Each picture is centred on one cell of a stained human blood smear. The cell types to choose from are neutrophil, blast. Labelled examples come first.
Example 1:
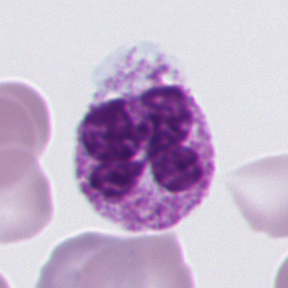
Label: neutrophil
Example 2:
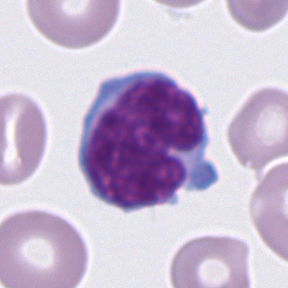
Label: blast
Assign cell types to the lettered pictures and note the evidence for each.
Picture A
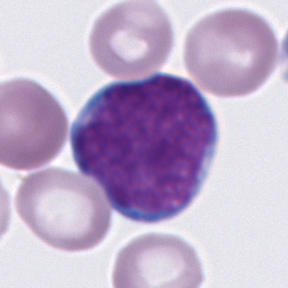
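blast. Reason: The cytoplasm is deep blue.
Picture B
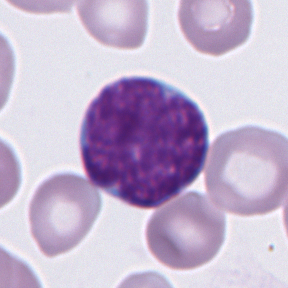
blast. Reason: The cytoplasm is only a thin rim, most visible at the lower left.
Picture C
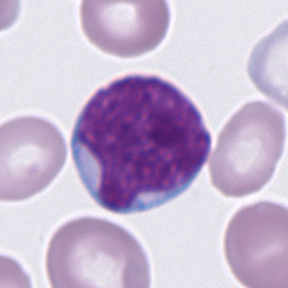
blast. Reason: The cytoplasm is a scant pale blue rim, widest at the lower left.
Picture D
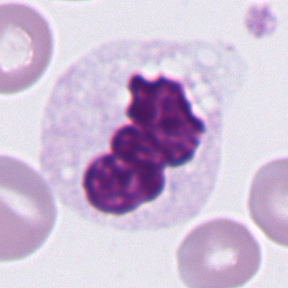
neutrophil. Reason: The cytoplasm is abundant and surrounds the nucleus on all sides.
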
